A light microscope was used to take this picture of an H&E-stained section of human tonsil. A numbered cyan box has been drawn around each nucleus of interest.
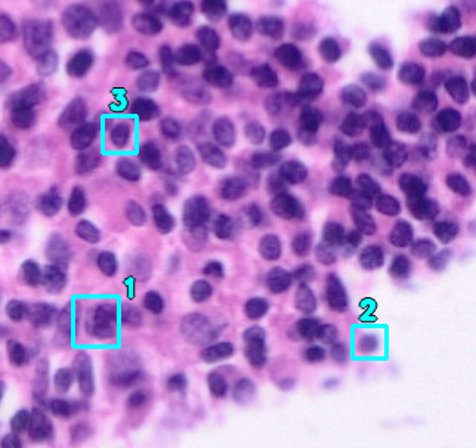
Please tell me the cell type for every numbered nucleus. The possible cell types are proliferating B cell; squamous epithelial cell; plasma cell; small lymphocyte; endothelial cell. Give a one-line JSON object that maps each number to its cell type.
{"1": "proliferating B cell", "2": "small lymphocyte", "3": "small lymphocyte"}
